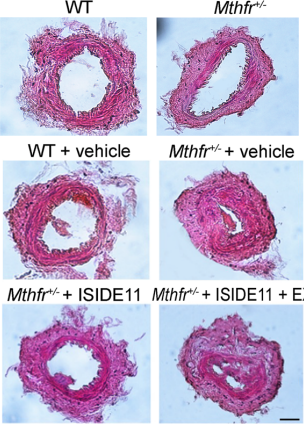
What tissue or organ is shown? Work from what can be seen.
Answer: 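Artery. Each image is a round or oval cross-section of a vessel with a central lumen. The wall is made of concentric, wavy pink-red layers. A looser, paler fibrous layer surrounds the outside of the wall.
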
